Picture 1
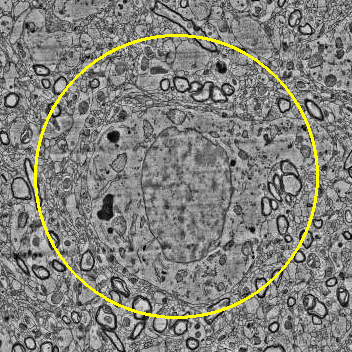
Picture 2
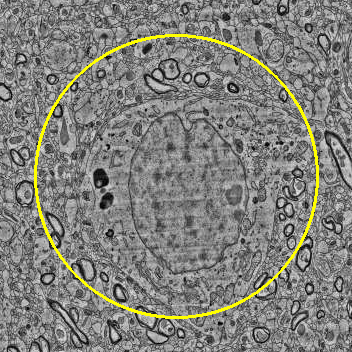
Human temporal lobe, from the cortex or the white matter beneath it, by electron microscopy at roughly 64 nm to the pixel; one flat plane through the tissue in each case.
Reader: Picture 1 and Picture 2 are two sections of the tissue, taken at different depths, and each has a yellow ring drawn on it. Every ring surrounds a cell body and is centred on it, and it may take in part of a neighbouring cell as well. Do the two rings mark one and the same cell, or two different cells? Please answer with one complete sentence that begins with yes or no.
Yes, the cell inside the first ring is the cell inside the second.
